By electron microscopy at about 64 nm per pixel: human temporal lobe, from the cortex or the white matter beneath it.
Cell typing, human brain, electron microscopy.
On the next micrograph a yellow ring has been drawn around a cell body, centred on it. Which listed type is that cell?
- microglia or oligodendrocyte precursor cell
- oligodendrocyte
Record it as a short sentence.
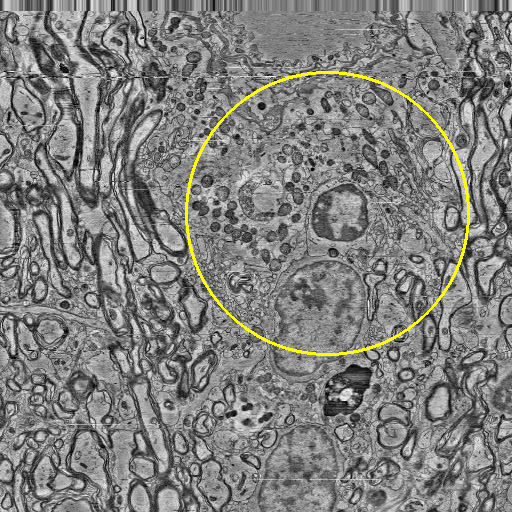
The cell body in the ring's centre belongs to a microglial cell or oligodendrocyte precursor cell.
